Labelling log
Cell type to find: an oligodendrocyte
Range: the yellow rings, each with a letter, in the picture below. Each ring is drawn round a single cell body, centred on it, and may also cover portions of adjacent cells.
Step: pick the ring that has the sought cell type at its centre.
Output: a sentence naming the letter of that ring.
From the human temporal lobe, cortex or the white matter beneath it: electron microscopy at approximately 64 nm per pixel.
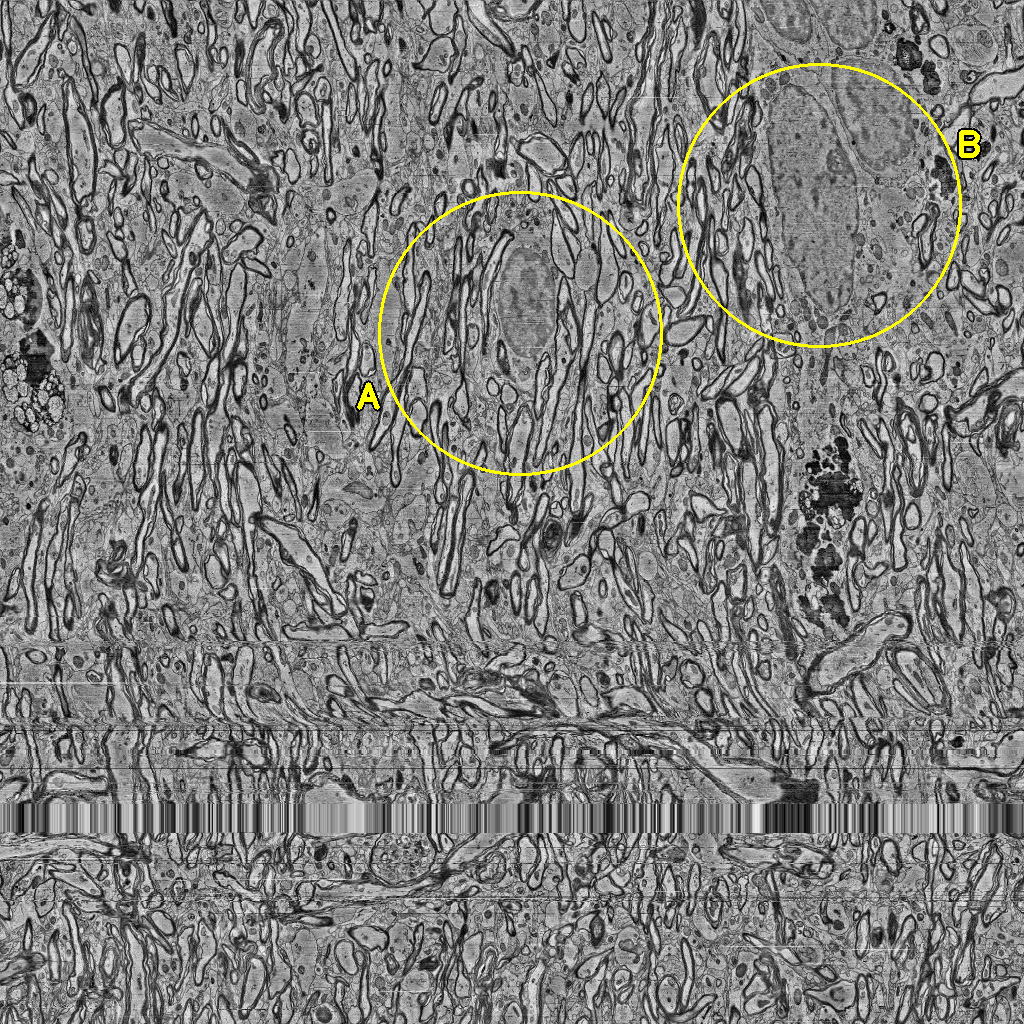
Ring A is the one with the cell asked for at its centre.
